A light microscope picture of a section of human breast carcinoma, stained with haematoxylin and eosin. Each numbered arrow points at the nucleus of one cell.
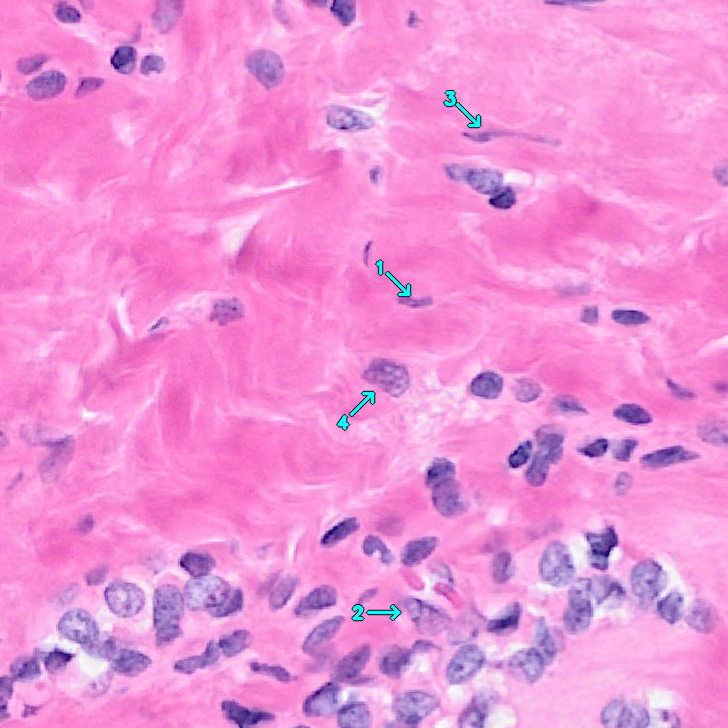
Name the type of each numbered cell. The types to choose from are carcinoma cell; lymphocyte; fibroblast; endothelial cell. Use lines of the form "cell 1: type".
cell 1: fibroblast
cell 2: endothelial cell
cell 3: fibroblast
cell 4: fibroblast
